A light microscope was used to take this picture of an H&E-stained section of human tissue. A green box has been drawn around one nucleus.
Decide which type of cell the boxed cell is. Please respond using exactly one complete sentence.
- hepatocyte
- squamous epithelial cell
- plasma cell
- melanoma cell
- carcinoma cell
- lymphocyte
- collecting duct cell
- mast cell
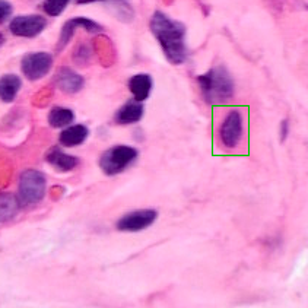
The identity of the boxed cell is that of a mast cell.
